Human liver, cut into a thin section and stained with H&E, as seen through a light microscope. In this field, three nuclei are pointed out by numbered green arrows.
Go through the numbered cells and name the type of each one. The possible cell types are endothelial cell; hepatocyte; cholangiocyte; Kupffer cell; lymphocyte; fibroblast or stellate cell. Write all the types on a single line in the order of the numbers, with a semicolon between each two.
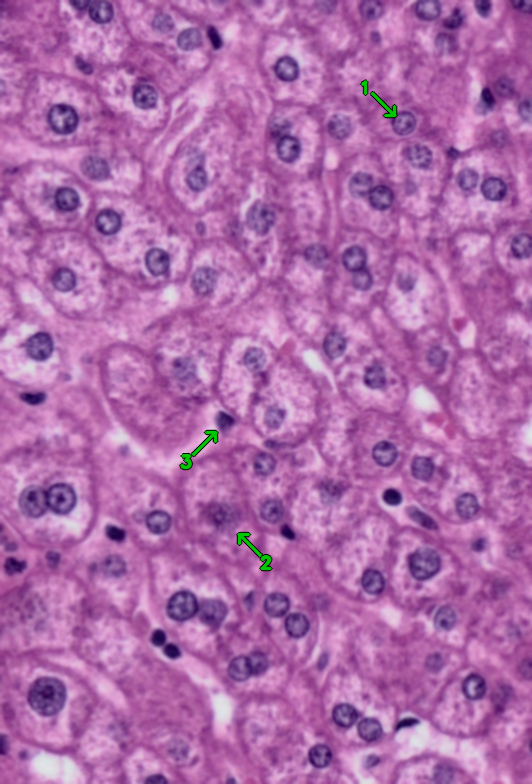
hepatocyte; hepatocyte; endothelial cell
